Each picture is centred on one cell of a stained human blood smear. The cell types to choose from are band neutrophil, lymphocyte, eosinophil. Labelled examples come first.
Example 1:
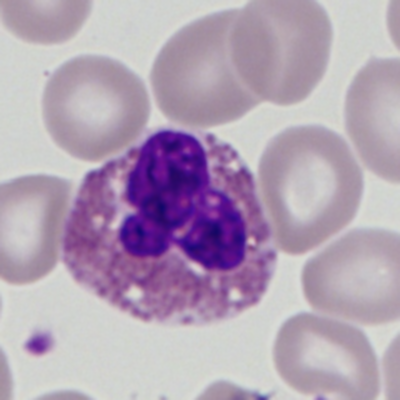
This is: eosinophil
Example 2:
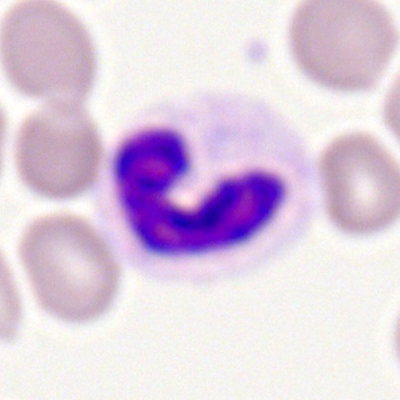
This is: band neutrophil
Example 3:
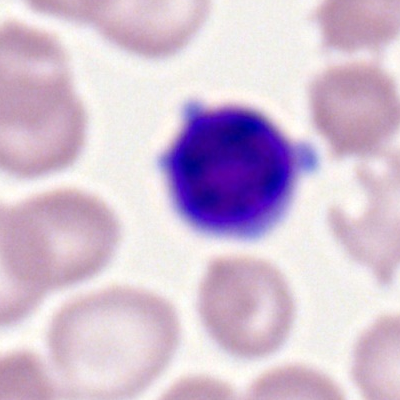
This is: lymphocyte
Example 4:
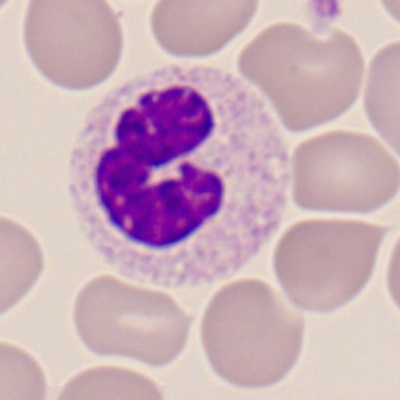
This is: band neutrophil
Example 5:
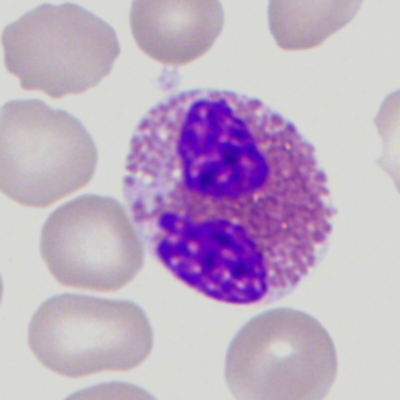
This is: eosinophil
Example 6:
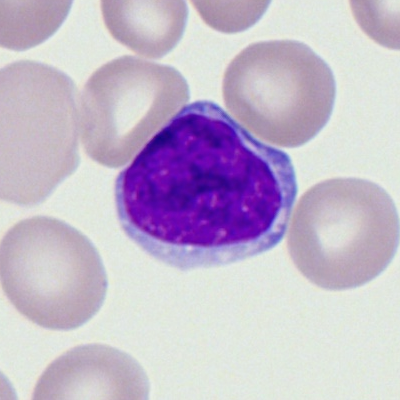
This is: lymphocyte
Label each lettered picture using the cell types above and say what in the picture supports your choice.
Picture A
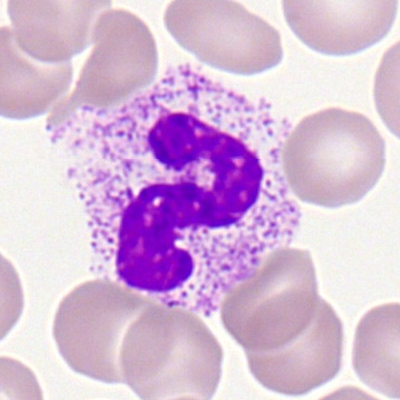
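Answer: band neutrophil. The nucleus is a single curved band bent into an S-like shape.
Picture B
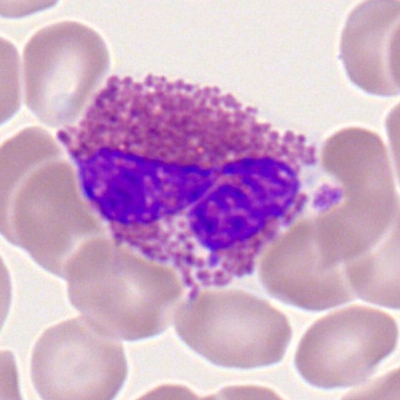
Answer: eosinophil. The nucleus has two lobes joined by a narrow link.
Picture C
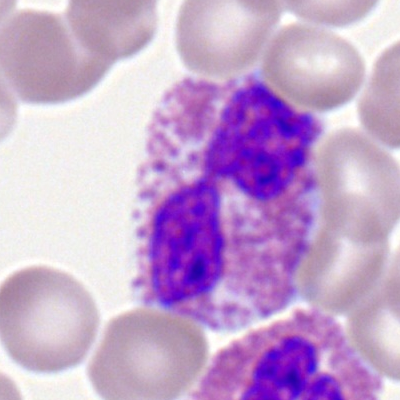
Answer: eosinophil. The nucleus has two lobes.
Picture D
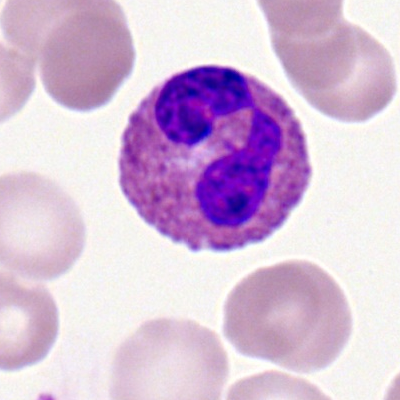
Answer: eosinophil. The nucleus has two lobes.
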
